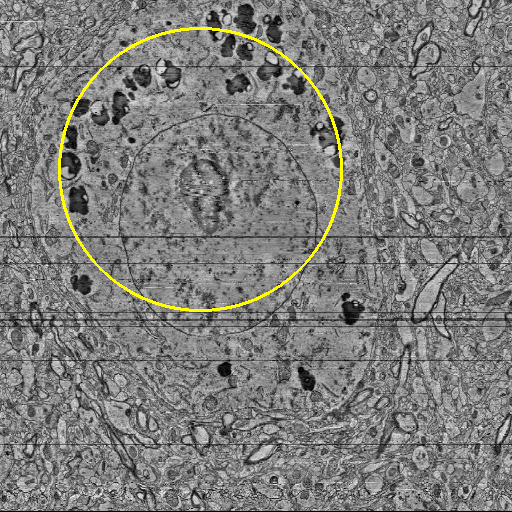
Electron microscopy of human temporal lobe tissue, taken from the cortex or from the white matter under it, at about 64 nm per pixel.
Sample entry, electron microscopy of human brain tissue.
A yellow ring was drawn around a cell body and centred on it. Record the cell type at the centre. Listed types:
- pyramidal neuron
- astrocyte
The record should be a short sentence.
The cell at the ring's centre is a pyramidal neuron.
